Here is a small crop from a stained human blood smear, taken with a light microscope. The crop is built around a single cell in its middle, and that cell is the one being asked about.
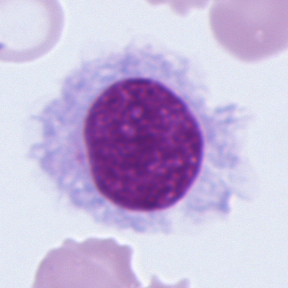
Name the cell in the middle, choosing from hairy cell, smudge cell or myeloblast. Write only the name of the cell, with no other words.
hairy cell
